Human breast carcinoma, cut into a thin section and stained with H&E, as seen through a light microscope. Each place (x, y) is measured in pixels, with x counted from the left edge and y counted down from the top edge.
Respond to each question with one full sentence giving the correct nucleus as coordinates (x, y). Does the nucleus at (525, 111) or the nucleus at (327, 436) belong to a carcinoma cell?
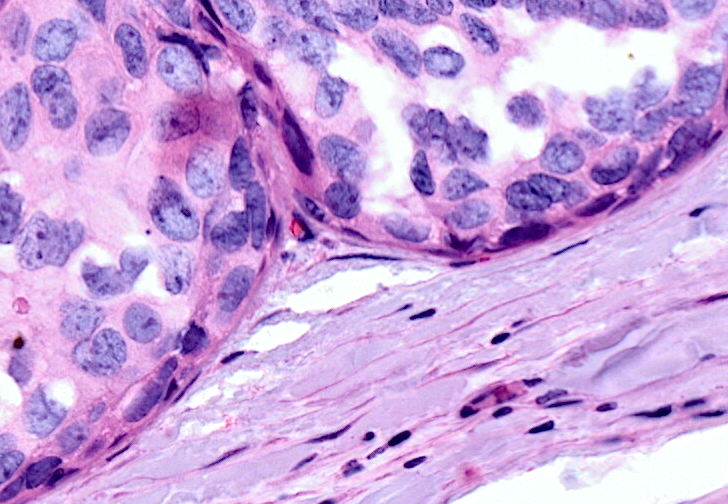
Between the pair, the nucleus at (525, 111) belongs to a carcinoma cell.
